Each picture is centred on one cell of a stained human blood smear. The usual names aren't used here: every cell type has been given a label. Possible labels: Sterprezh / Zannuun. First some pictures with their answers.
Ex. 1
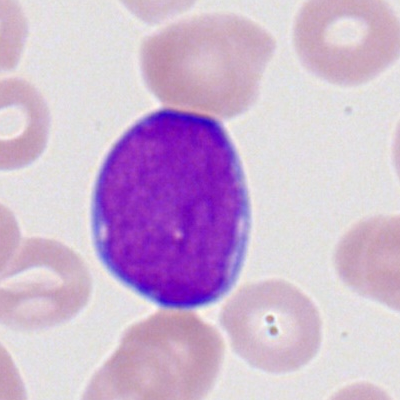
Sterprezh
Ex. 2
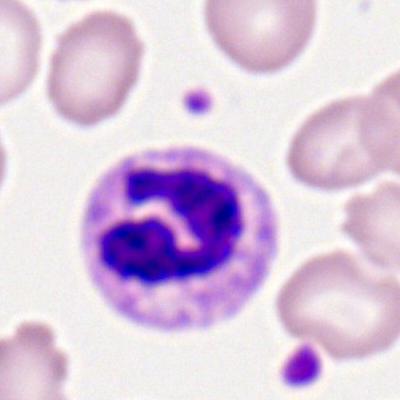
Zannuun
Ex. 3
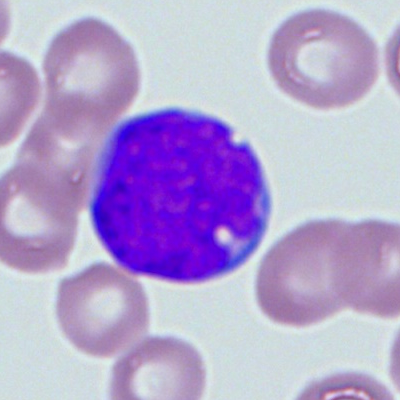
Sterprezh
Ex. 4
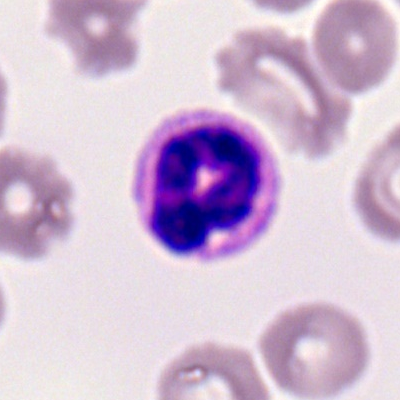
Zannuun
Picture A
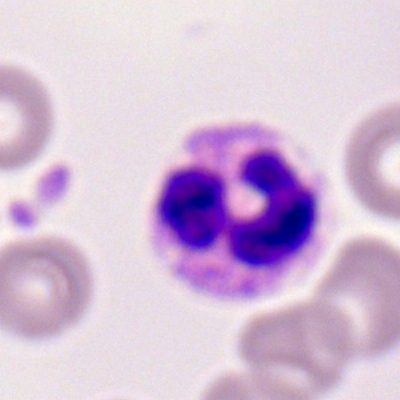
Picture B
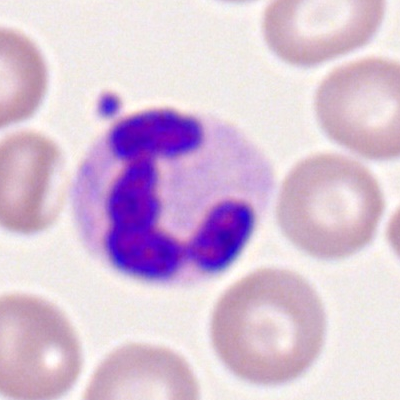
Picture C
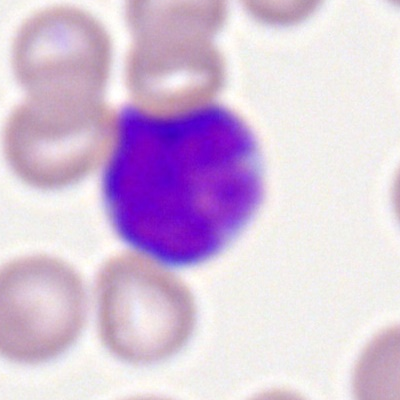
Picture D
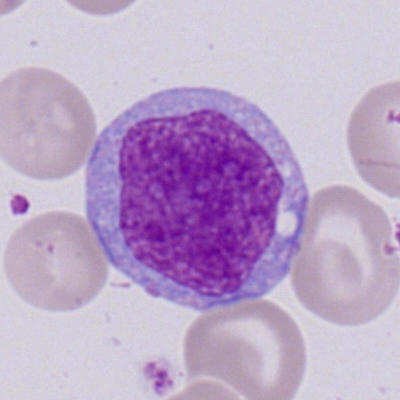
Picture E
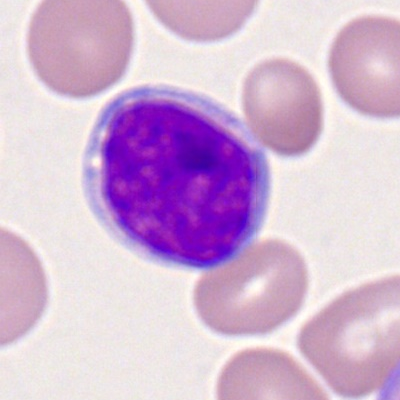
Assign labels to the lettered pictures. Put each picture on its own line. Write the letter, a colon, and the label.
A: Zannuun
B: Zannuun
C: Sterprezh
D: Sterprezh
E: Sterprezh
